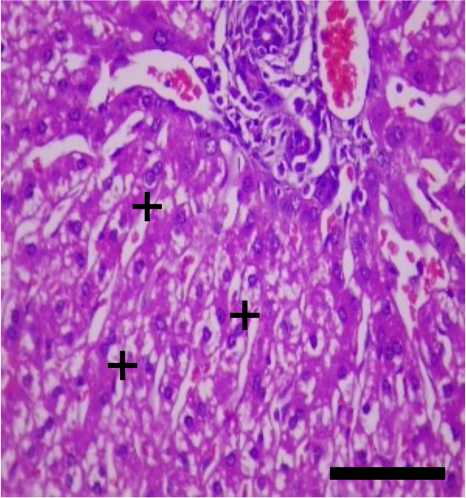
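This is liver tissue in which hepatocytes are arranged in cords radiating from a portal area at the top. The portal area holds blood vessels filled with red blood cells and a cluster of small, densely stained nuclei. The hepatocytes are polygonal, with round, centrally placed nuclei. Their cytoplasm is pink and partly pale or vacuolated. Clear sinusoidal spaces separate the cords, and some of these contain red blood cells. The overall acinar arrangement of the liver cells is preserved.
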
